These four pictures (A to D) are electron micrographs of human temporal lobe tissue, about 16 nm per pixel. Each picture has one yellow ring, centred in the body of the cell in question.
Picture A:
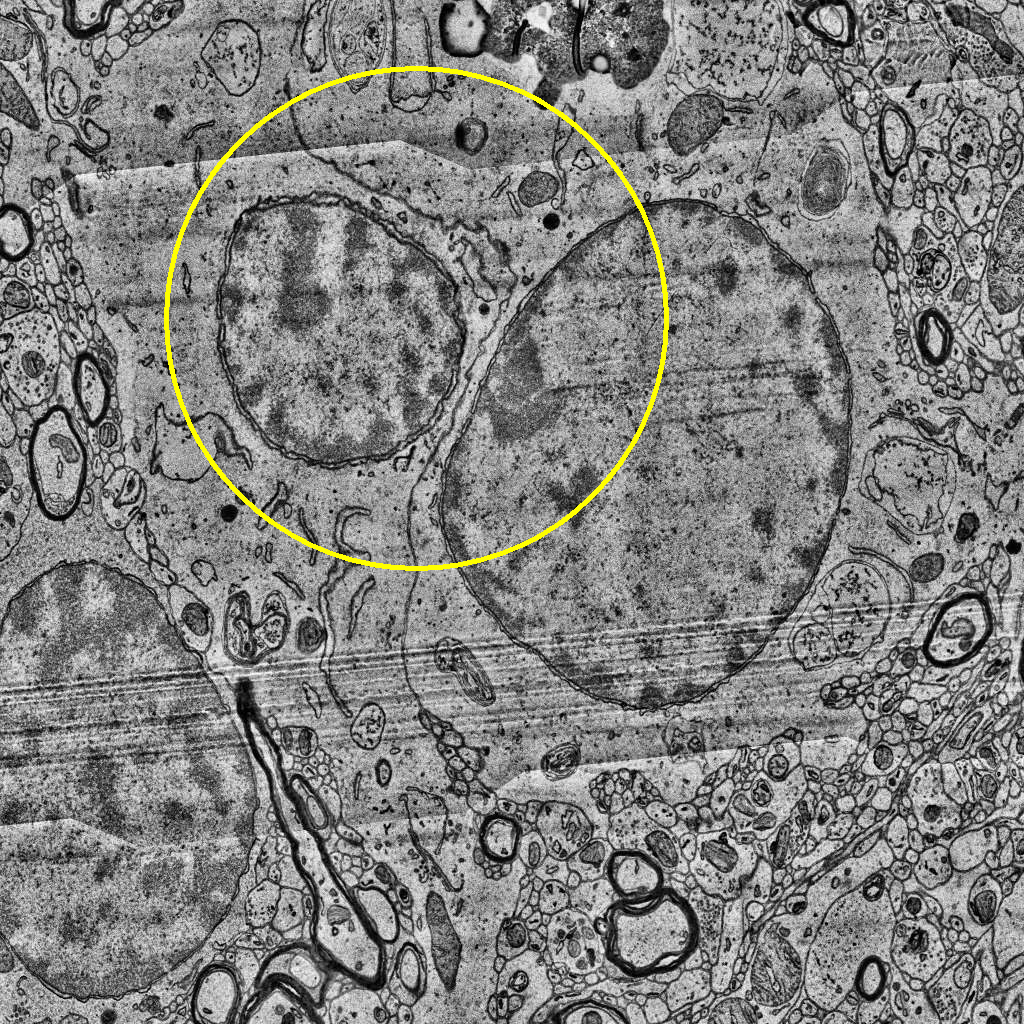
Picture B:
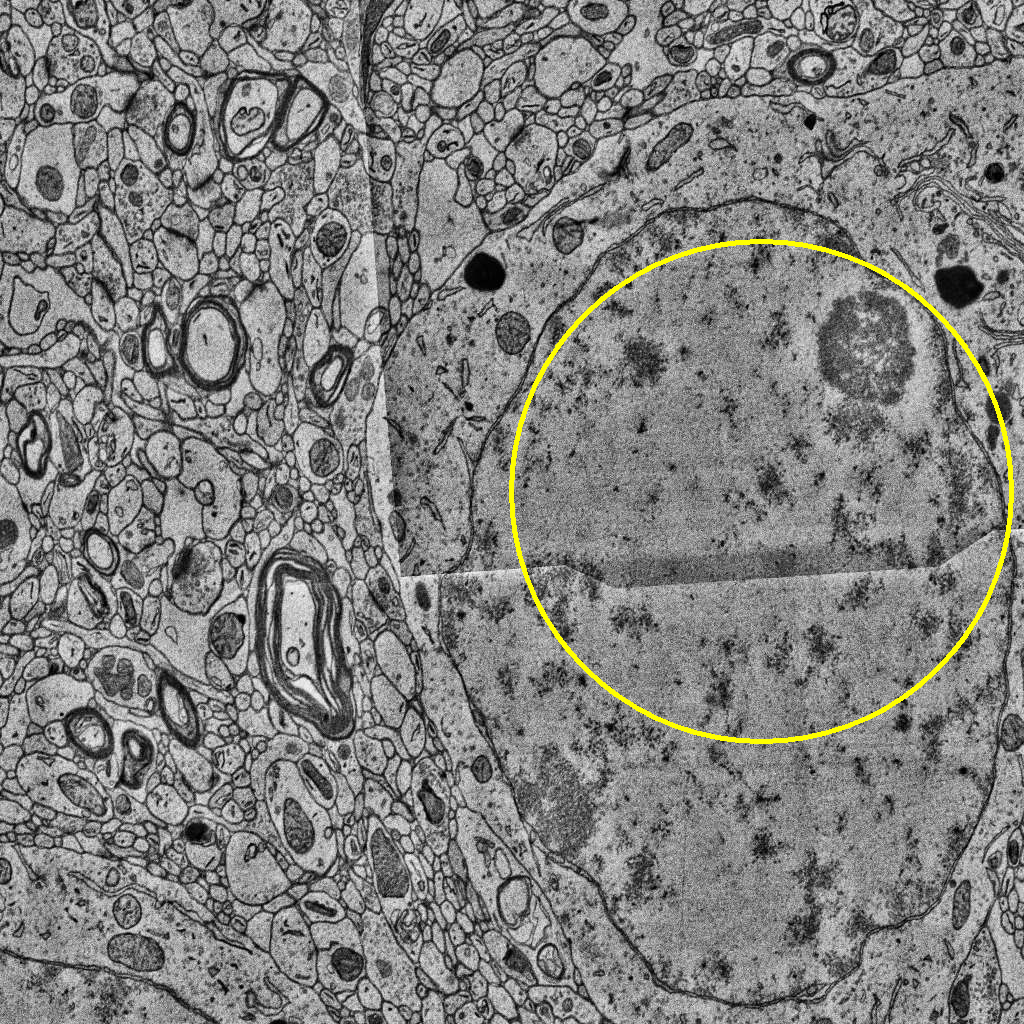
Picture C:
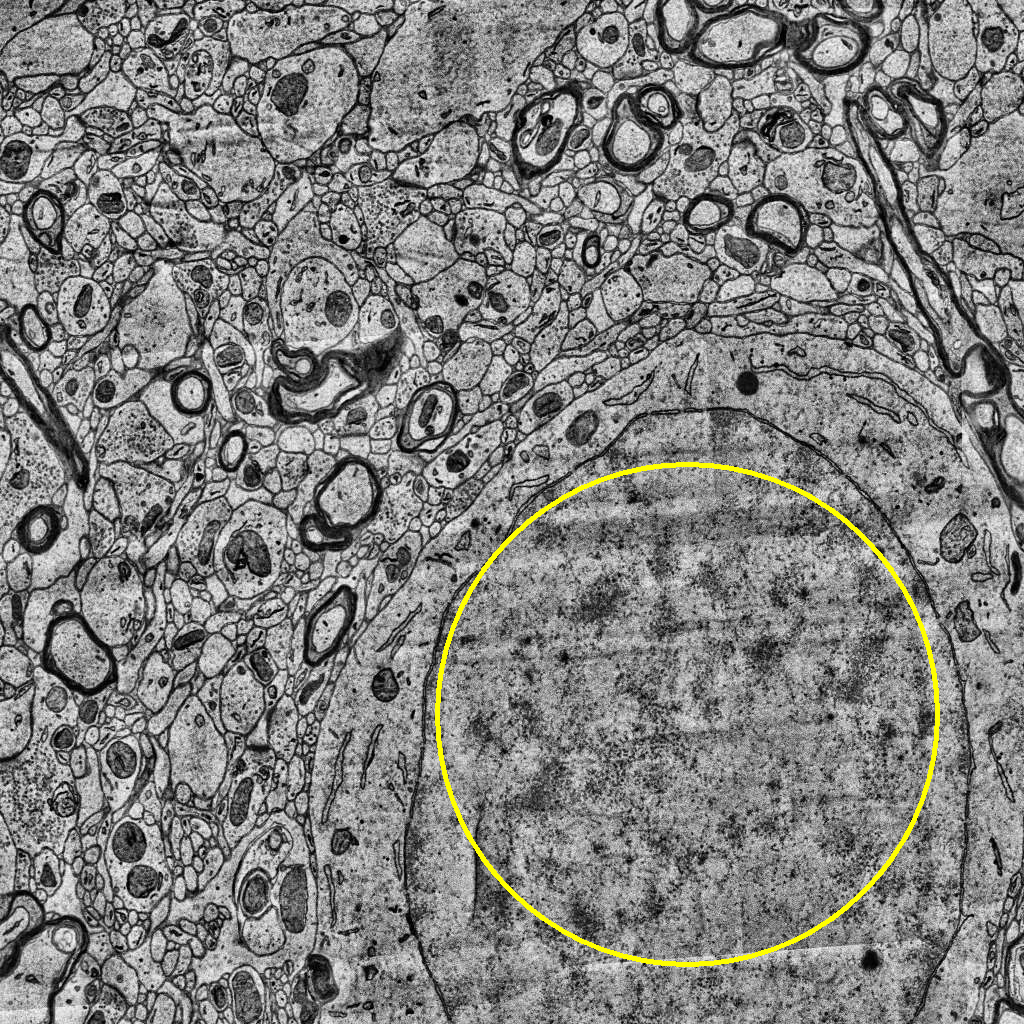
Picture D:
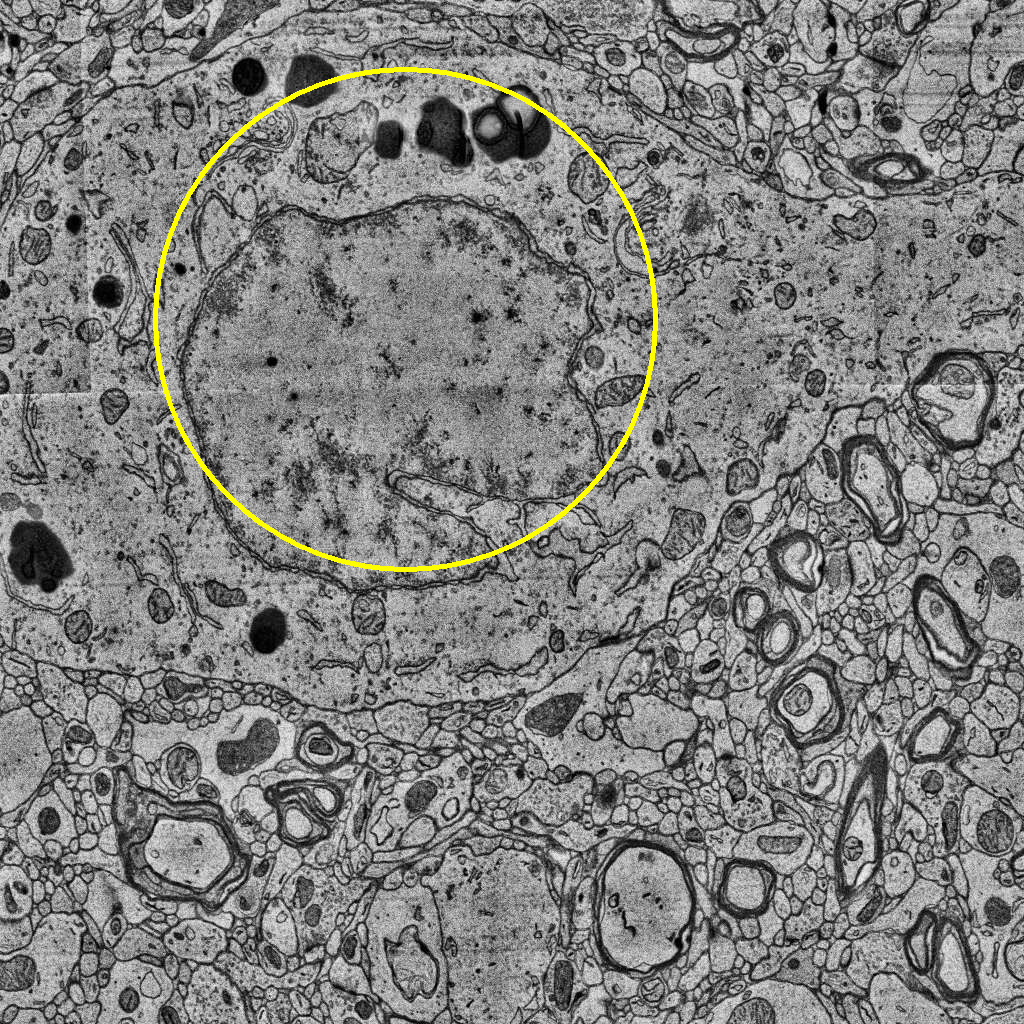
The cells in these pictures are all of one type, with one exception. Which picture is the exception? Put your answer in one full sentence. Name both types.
Picture A differs, because its cell is an astrocyte and the rest are pyramidal neurons.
